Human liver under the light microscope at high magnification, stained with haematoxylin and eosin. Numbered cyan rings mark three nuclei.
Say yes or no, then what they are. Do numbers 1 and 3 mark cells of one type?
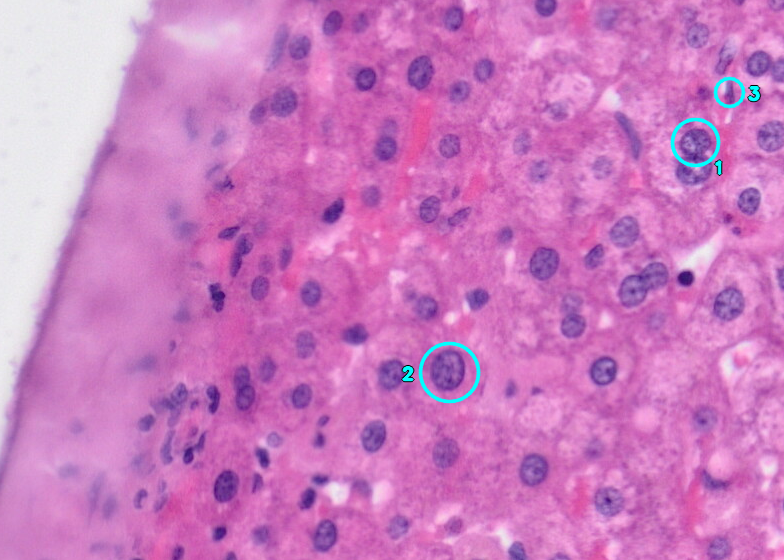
No, cell 1 is a hepatocyte and cell 3 is an endothelial cell.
